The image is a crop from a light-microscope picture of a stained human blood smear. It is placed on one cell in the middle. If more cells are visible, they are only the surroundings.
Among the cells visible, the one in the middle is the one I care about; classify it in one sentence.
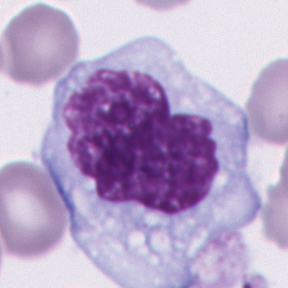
The cell occupying the middle of the crop is a monocyte.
